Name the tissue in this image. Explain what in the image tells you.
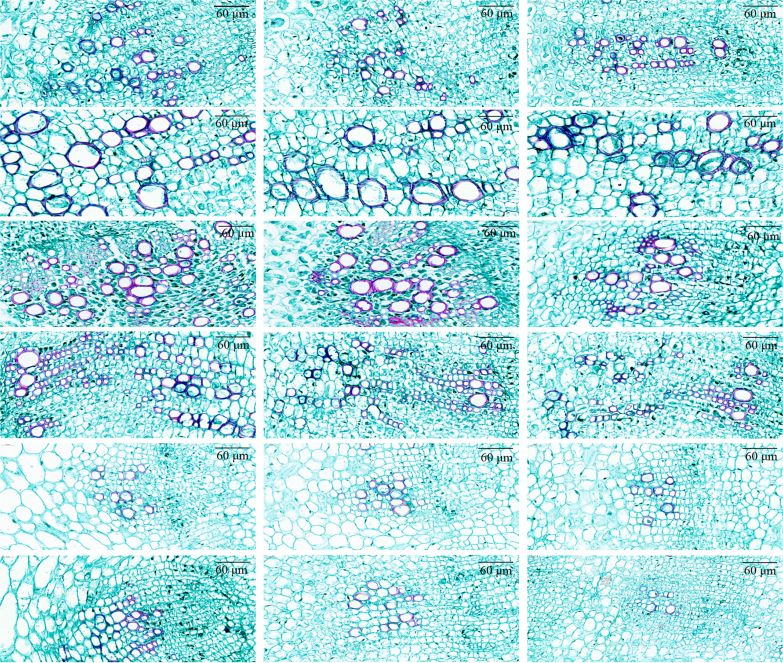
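Xylem. Clusters of round, thick-walled cells with open lumens whose walls stain magenta to purple. These clusters lie among smaller thin-walled cells stained blue-green. Some of the round cells are much wider than the surrounding cells.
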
